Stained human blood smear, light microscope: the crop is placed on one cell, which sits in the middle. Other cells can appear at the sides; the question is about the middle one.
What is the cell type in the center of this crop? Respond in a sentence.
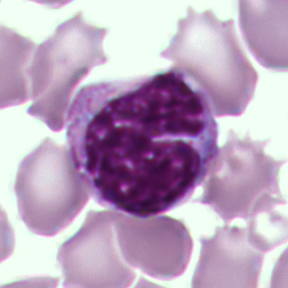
In the crop, the cell of interest at the centre is a band neutrophil.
